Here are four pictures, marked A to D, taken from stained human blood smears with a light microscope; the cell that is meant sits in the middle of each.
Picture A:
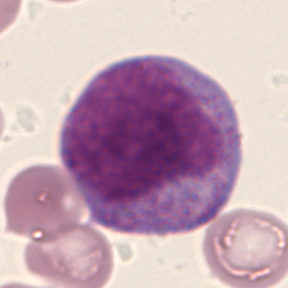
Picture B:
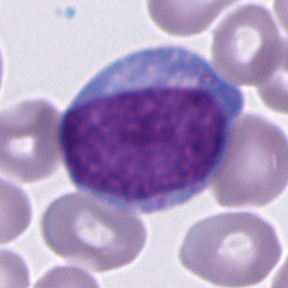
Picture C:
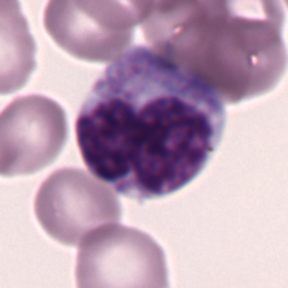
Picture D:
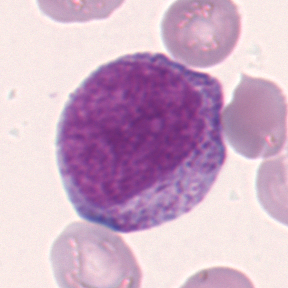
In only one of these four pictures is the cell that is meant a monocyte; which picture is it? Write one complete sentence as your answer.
The picture with the monocyte is C.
